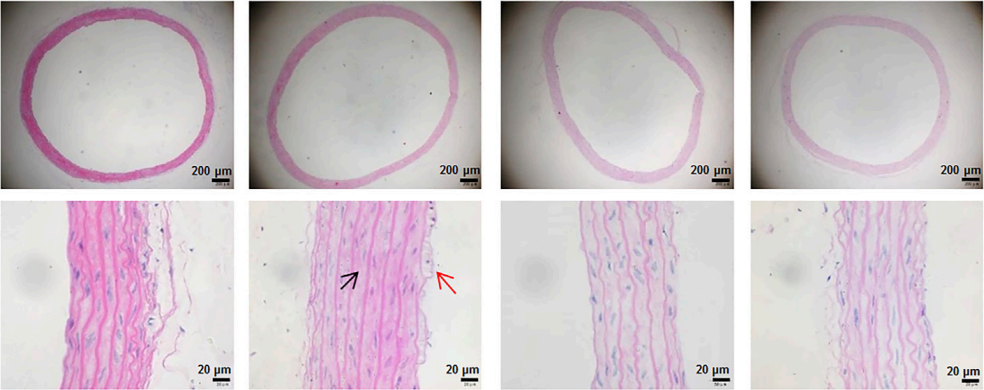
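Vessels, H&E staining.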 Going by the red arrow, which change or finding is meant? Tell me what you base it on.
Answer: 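Shedding of endothelial cells. The red arrow points at the edge of the vessel wall in a high-magnification section. Cells at that edge look loosened from the wall.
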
